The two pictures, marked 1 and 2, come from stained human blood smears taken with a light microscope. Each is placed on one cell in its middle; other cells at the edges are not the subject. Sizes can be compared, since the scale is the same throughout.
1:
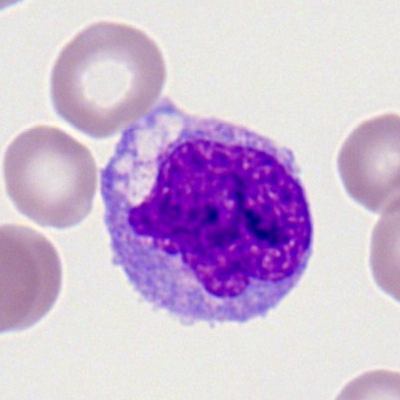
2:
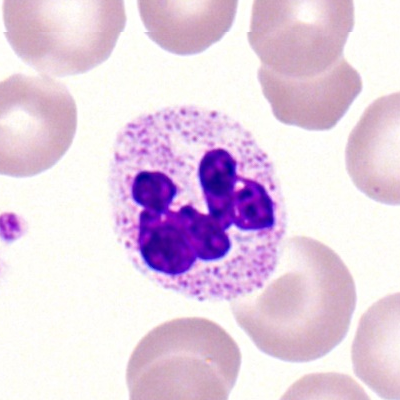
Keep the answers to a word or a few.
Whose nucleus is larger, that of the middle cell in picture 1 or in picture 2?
1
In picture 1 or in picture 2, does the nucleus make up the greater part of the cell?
1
